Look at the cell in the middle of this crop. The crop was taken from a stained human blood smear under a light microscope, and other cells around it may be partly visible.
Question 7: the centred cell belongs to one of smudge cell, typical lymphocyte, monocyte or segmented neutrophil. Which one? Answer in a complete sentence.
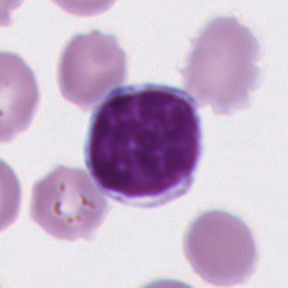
The cell that lies at the centre of the crop is a typical lymphocyte.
